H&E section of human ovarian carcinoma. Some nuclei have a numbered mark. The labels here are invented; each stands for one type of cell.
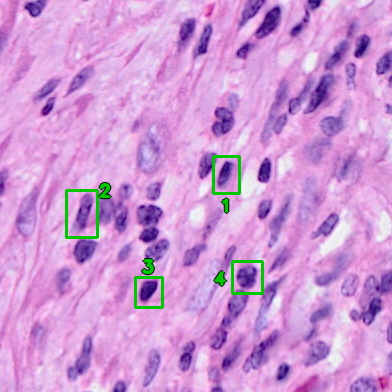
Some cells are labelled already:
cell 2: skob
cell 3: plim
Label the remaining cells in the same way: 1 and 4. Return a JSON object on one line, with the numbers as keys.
{"1": "plim", "4": "plim"}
